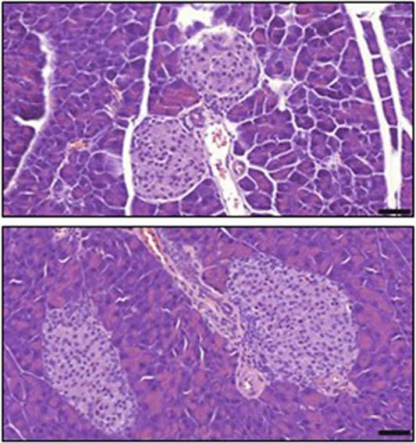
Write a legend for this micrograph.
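Pancreatic tissue with islets lying among exocrine acini. The islets are rounded to oval pale pink clusters of small, closely packed cells with round purple nuclei. Surrounding acinar cells have denser purple-pink cytoplasm and are arranged in small groups separated by thin white clefts. Small vessels containing red blood cells run beside the islets. The islets in the lower image are larger and more irregular in outline than those in the upper image.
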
